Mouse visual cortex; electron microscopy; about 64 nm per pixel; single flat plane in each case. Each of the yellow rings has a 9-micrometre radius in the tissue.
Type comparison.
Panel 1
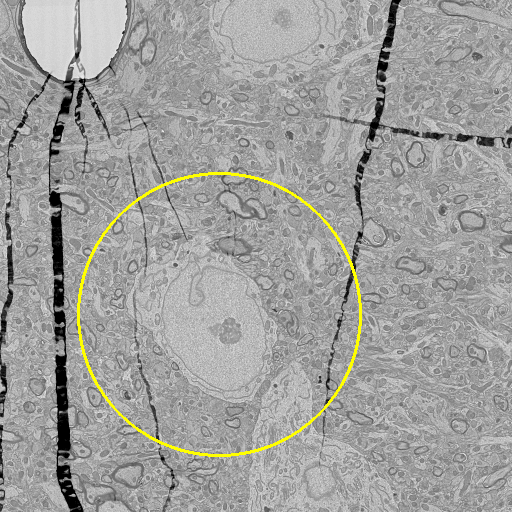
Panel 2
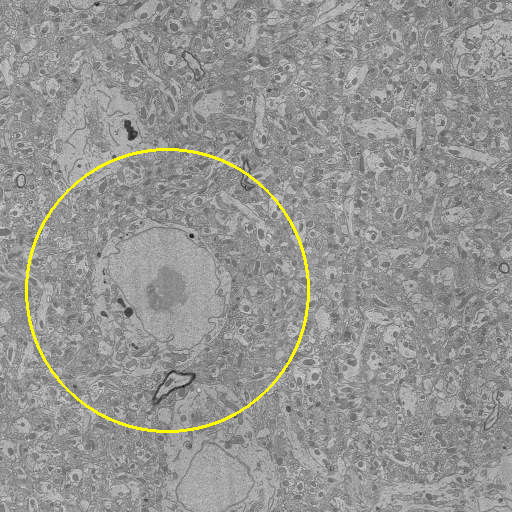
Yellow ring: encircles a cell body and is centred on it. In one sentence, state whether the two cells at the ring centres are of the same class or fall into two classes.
In these panels, the two cells at the ring centres are of the same class.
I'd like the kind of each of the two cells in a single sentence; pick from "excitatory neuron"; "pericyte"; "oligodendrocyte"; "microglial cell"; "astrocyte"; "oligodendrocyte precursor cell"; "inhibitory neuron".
Each of the two cells is an inhibitory neuron.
